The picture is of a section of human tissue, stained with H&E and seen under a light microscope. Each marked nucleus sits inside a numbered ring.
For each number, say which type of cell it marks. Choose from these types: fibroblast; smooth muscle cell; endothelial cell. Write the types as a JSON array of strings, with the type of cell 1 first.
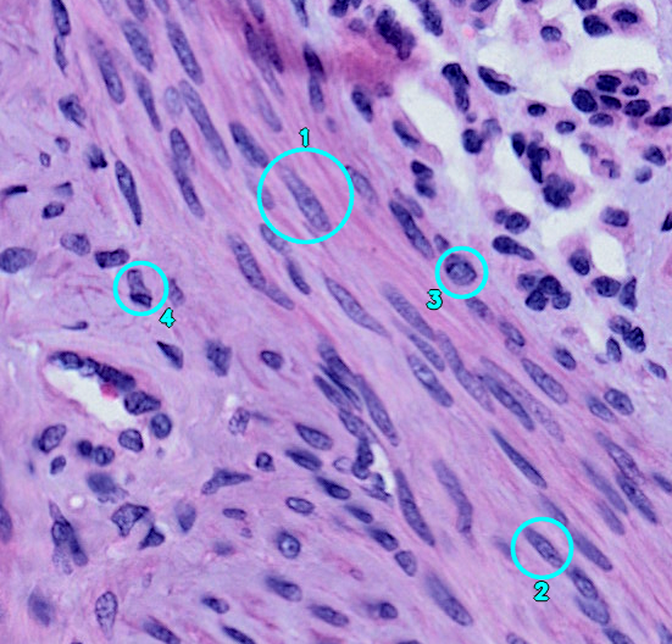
["smooth muscle cell", "smooth muscle cell", "smooth muscle cell", "fibroblast"]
